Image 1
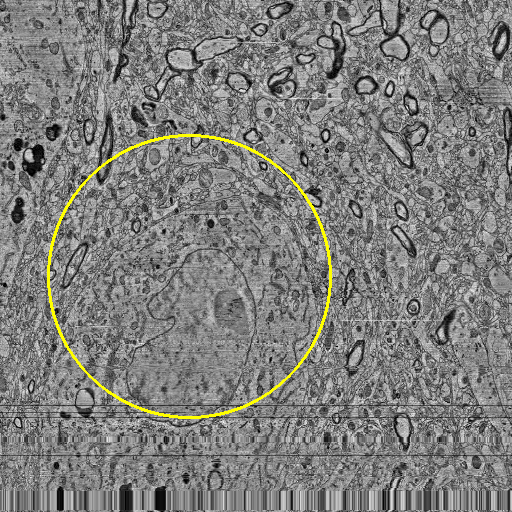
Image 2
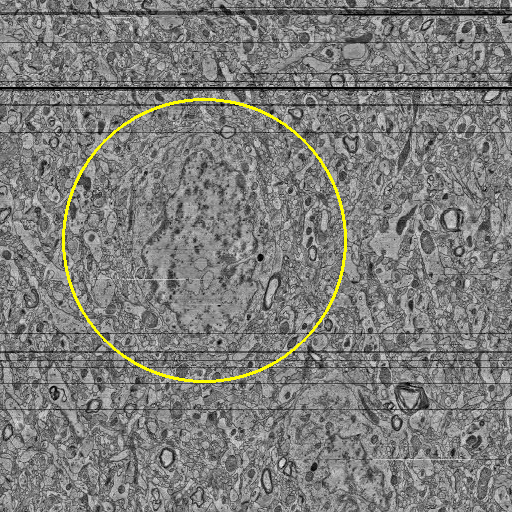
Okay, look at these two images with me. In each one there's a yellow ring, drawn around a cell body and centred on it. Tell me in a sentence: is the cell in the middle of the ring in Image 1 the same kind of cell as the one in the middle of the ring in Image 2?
No, they're two kinds of cell.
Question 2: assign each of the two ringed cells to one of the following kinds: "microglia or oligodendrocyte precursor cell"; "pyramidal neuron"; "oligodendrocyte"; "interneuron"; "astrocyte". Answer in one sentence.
The two cells are a pyramidal neuron in the first picture and an interneuron in the second.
